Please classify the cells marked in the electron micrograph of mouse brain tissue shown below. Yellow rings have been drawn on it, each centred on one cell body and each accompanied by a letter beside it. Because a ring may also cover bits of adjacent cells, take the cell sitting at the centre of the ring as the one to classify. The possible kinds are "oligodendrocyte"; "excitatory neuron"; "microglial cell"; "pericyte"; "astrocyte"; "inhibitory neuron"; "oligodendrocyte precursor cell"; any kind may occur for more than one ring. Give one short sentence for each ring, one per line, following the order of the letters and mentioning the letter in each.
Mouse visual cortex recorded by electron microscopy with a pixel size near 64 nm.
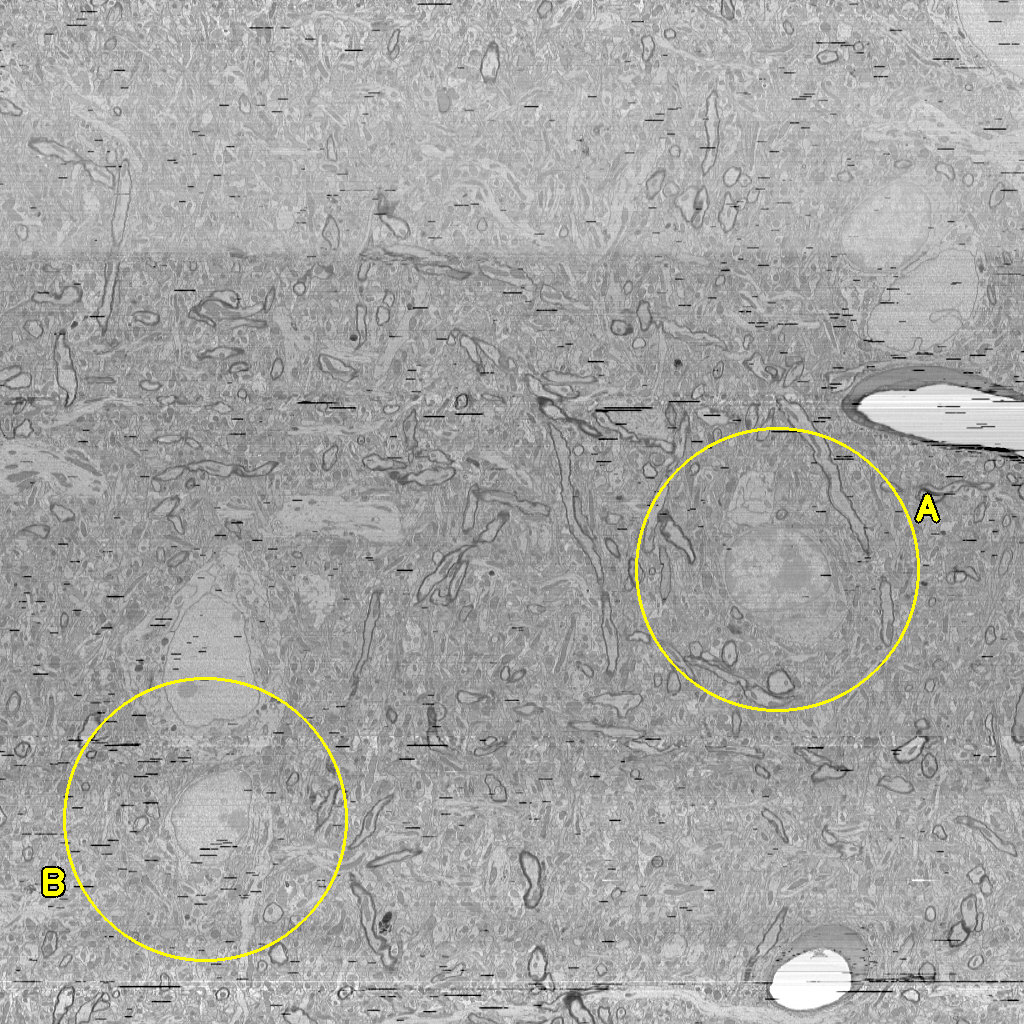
Ring A marks the cell body of an oligodendrocyte.
Ring B marks the cell body of an astrocyte.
